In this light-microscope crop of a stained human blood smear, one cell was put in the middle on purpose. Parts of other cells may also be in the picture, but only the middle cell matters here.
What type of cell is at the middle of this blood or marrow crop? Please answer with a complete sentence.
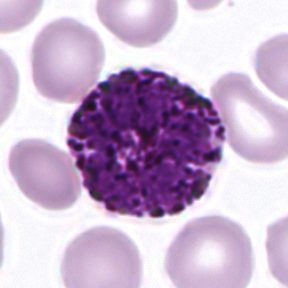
The central element of this crop is a cell, namely a basophil.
